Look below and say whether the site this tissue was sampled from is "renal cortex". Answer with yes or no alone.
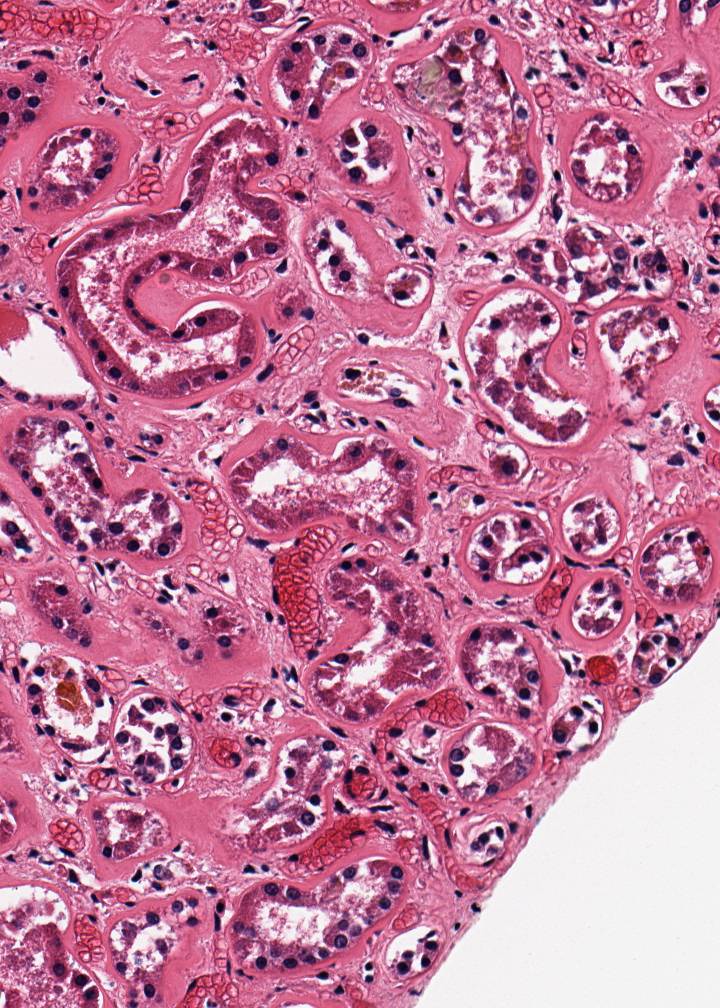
yes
